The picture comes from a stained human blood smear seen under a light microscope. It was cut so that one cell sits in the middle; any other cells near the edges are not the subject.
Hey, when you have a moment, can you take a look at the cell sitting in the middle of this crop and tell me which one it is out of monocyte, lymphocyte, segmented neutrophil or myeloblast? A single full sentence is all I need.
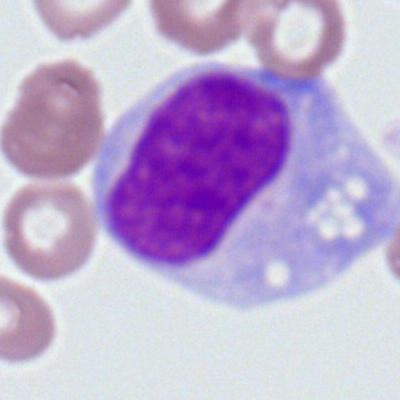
For this crop, the cell in the middle is a monocyte.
